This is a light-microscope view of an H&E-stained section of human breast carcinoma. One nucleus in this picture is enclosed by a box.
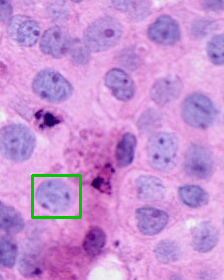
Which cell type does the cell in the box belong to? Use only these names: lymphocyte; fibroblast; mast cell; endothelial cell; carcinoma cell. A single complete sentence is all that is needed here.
By its classification, the cell in the box is a carcinoma cell.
